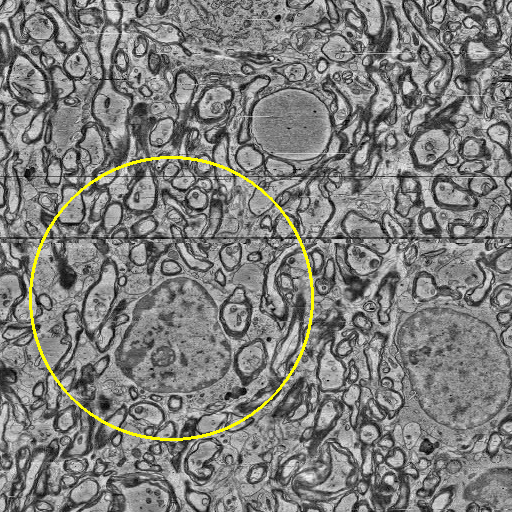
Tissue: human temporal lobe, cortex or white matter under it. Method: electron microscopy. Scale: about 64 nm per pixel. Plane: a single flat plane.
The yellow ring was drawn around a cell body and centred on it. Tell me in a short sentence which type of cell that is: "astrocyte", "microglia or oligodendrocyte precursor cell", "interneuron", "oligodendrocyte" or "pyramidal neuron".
The cell at the ring's centre is a microglial cell or oligodendrocyte precursor cell.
